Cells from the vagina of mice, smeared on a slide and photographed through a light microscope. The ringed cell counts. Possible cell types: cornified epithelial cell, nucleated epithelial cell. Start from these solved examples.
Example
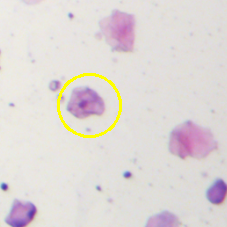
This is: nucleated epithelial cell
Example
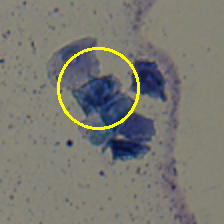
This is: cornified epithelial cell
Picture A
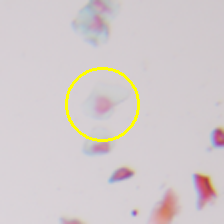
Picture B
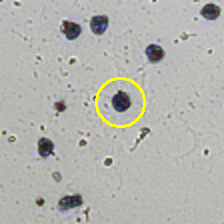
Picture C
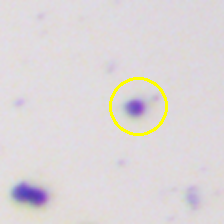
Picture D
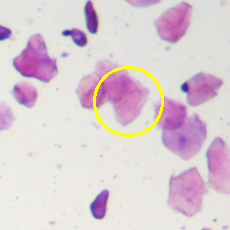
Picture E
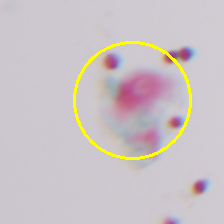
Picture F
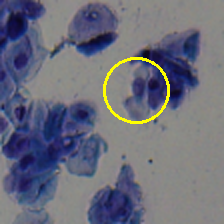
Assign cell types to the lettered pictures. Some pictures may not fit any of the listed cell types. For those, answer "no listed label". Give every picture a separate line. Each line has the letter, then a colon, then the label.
A: nucleated epithelial cell
B: no listed label
C: no listed label
D: cornified epithelial cell
E: nucleated epithelial cell
F: nucleated epithelial cell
